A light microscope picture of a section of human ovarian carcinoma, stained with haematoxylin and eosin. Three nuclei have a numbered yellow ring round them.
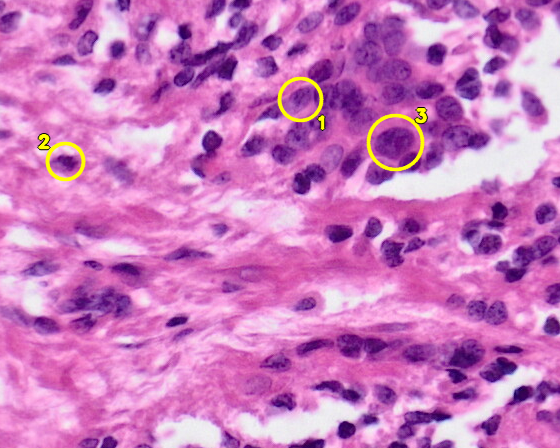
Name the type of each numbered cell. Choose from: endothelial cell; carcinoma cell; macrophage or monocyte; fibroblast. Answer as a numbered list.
1. carcinoma cell
2. fibroblast
3. carcinoma cell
